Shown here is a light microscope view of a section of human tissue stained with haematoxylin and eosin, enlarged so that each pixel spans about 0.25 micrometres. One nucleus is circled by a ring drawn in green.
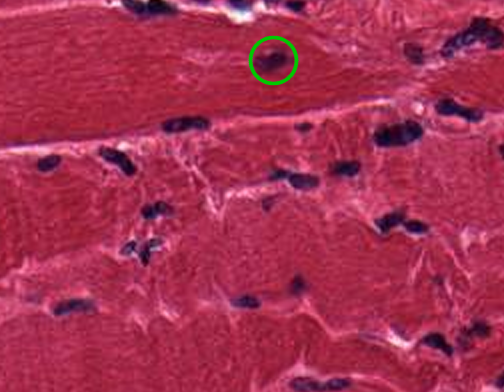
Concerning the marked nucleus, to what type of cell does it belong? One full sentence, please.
The marked nucleus is identified as belonging to a skeletal muscle fibre.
